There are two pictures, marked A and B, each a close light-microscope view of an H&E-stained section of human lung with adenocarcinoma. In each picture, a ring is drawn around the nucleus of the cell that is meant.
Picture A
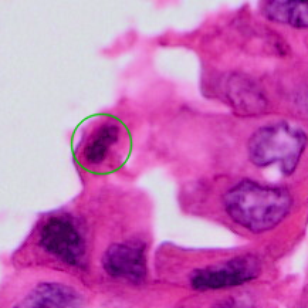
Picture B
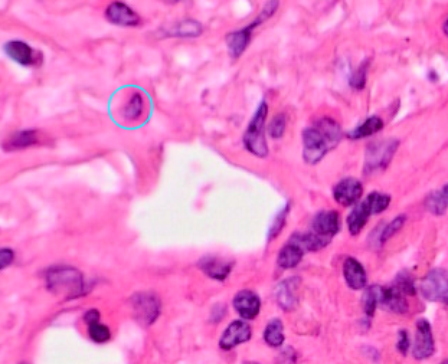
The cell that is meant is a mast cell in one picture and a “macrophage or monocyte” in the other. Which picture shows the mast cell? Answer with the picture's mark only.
B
